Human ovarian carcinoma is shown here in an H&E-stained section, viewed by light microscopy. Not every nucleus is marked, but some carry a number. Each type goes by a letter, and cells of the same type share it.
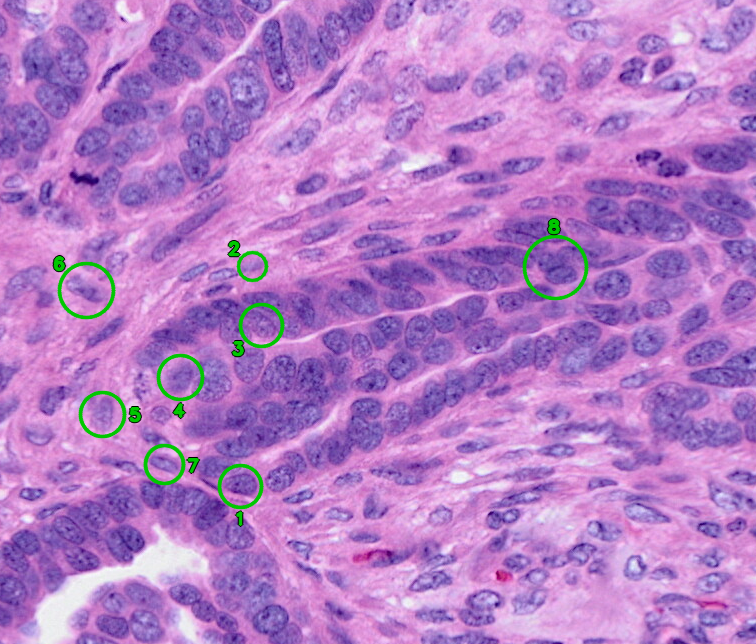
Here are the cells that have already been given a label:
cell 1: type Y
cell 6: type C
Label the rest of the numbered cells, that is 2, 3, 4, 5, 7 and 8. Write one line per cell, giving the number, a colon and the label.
2: type C
3: type Y
4: type Y
5: type C
7: type C
8: type Y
